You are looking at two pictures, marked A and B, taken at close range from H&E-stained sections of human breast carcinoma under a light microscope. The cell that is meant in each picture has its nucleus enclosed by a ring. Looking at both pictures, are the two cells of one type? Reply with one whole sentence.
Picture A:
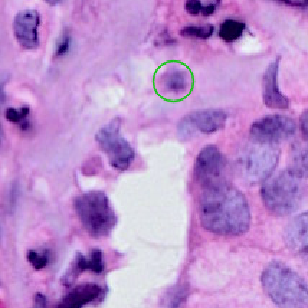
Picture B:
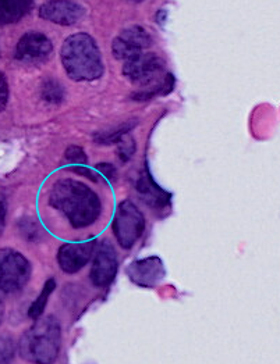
No, they differ: the cell is a mast cell in picture A and a carcinoma cell in picture B.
